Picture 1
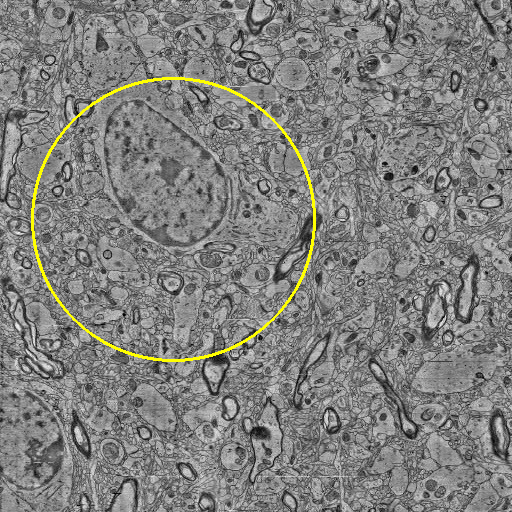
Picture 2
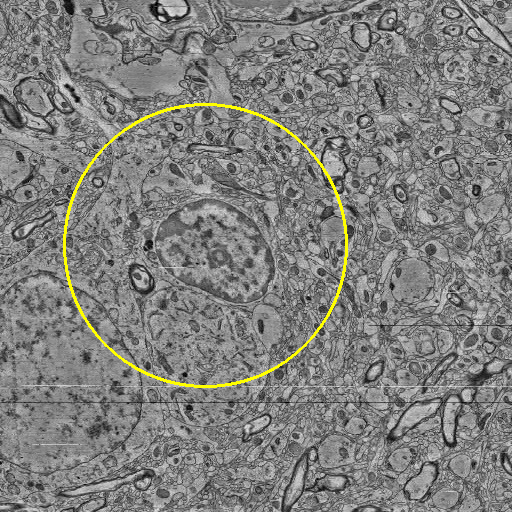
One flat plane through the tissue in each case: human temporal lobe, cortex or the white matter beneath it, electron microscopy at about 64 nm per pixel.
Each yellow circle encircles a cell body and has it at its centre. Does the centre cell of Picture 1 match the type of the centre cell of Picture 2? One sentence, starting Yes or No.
Yes, the cell centred in Picture 1 and the one in Picture 2 share a type.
